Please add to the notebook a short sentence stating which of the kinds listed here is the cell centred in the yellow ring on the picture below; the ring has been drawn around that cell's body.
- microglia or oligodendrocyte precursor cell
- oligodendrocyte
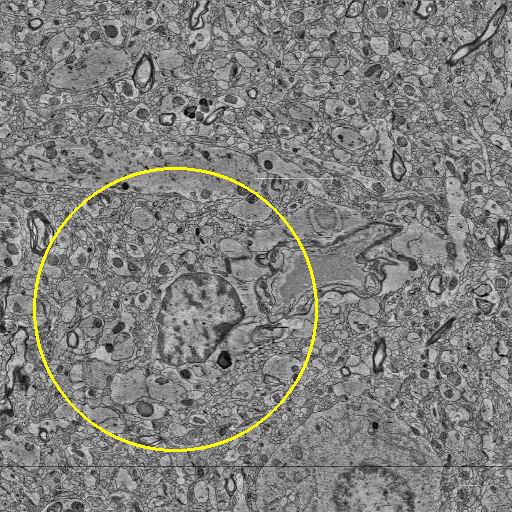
The cell centred in the yellow ring is a microglial cell or oligodendrocyte precursor cell.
